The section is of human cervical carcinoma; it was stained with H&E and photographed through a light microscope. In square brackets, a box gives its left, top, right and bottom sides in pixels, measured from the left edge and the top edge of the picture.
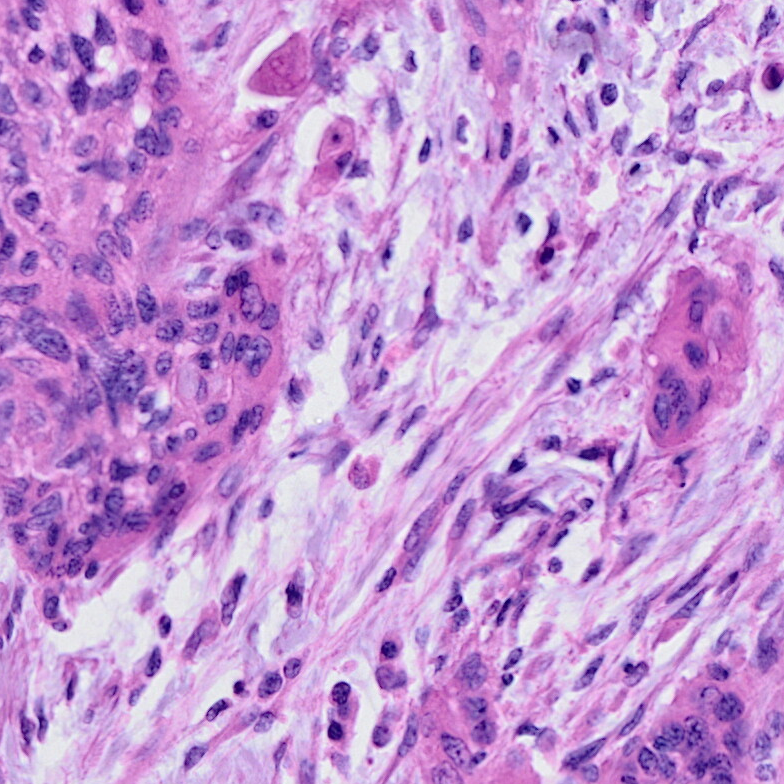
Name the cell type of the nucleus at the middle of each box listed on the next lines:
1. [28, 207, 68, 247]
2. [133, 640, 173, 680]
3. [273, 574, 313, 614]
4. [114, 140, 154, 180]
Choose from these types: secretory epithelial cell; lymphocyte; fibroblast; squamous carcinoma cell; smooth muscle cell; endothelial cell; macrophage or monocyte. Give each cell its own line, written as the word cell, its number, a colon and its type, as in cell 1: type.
cell 1: squamous carcinoma cell
cell 2: lymphocyte
cell 3: lymphocyte
cell 4: squamous carcinoma cell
